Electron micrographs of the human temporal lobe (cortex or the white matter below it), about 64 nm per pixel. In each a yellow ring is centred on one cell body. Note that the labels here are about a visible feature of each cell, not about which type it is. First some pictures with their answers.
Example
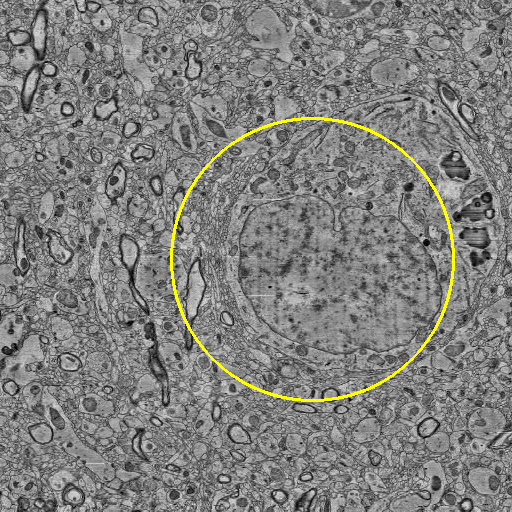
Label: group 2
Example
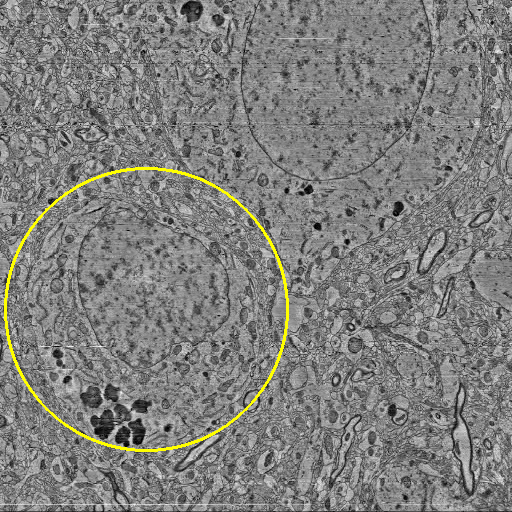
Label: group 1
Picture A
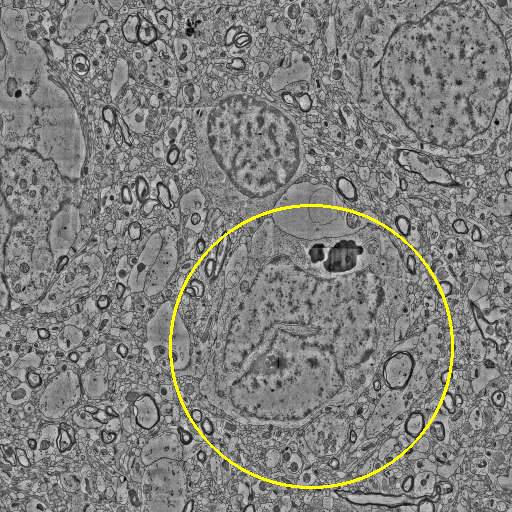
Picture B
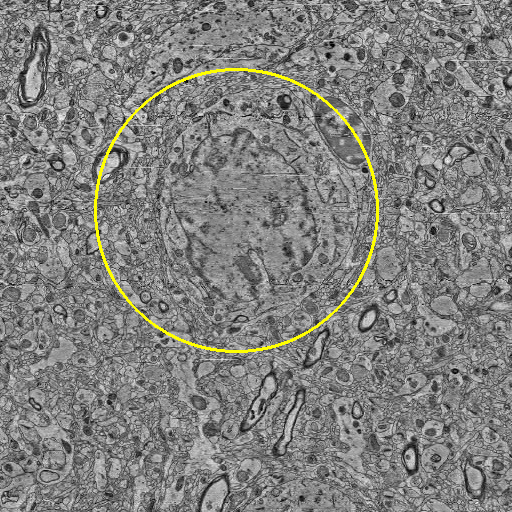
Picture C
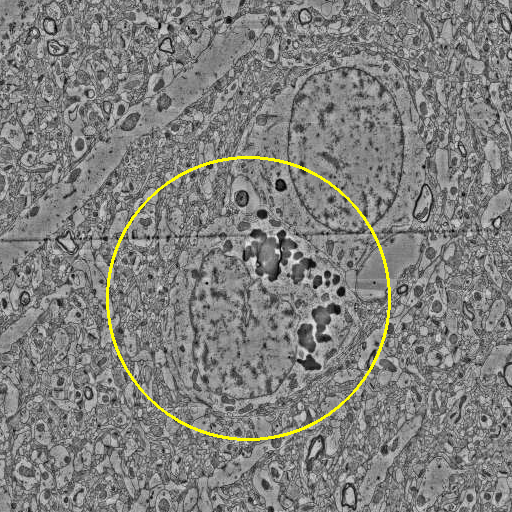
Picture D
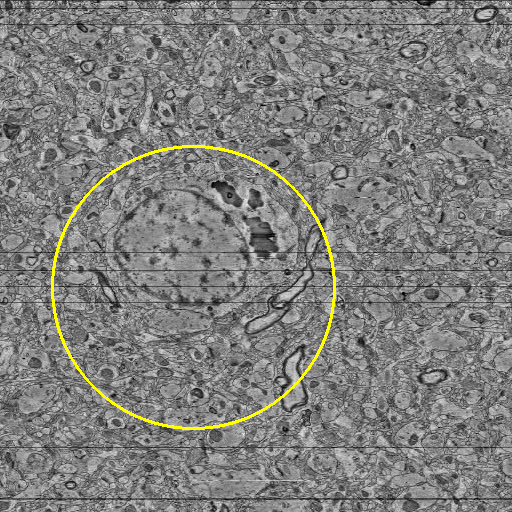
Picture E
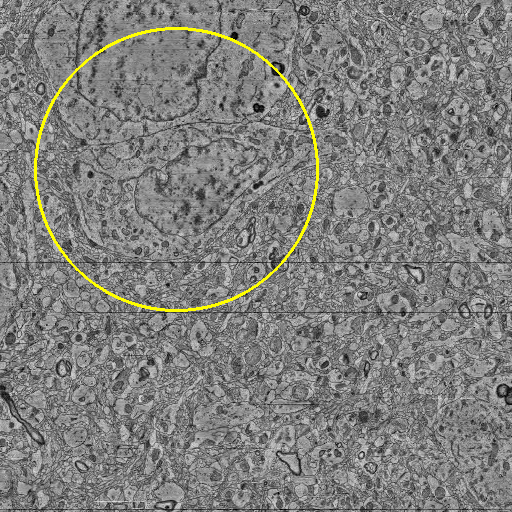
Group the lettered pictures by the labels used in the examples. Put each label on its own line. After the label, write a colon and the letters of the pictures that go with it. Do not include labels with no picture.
group 2: A, B, E
group 1: C, D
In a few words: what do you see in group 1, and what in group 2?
In group 1: smooth nuclear envelopes without deep folds. In group 2: deeply folded or indented nuclear envelopes.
